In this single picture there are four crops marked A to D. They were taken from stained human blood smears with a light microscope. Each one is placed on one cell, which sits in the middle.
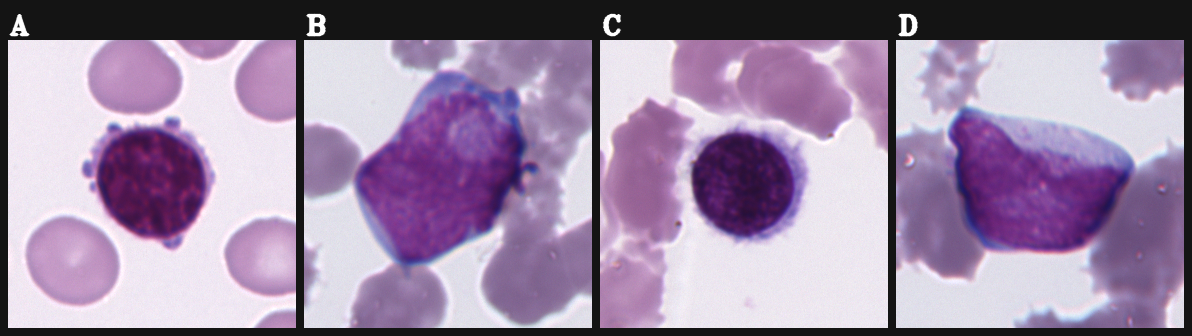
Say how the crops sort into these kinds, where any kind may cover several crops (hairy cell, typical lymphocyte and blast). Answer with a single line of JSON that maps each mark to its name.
{"A": "typical lymphocyte", "B": "blast", "C": "hairy cell", "D": "blast"}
